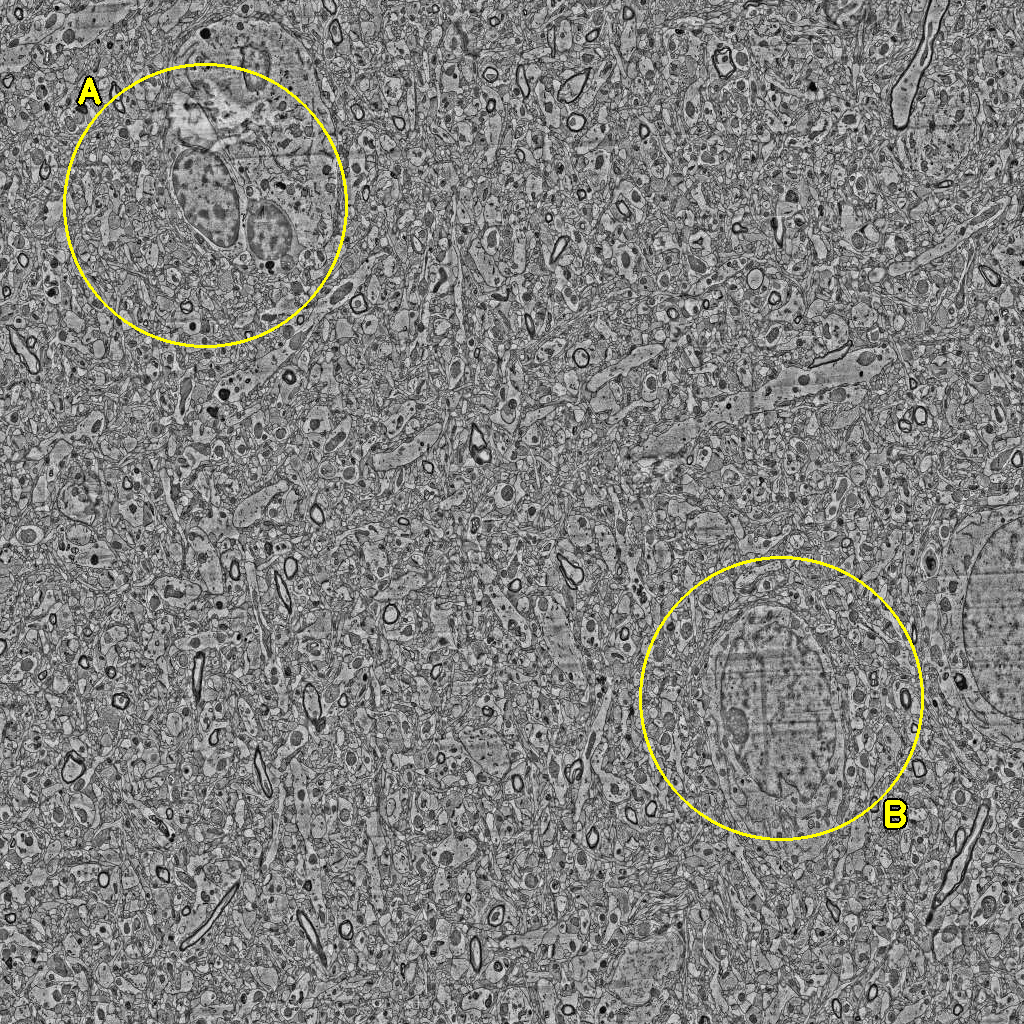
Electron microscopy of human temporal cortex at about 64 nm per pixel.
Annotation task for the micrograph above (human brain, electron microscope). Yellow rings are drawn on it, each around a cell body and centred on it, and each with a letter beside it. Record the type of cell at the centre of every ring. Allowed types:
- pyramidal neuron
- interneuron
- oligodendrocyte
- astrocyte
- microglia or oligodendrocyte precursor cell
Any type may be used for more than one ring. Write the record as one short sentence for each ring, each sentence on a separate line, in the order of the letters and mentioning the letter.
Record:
The cell centred in ring A is a microglial cell or oligodendrocyte precursor cell.
The cell centred in ring B is an interneuron.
